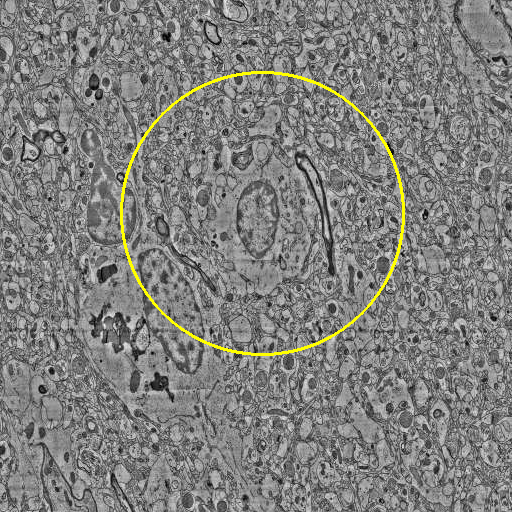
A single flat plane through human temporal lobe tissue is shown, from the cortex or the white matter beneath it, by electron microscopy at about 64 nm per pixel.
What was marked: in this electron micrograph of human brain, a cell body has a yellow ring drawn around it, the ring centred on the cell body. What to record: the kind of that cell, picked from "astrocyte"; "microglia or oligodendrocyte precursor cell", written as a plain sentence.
The centred cell is an astrocyte.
